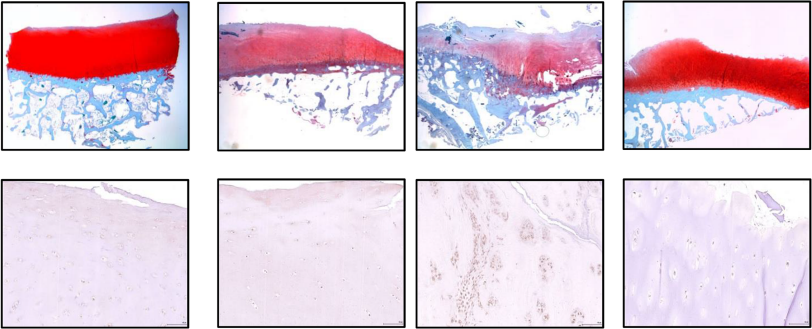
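These sections show articular cartilage over subchondral bone. In the upper row the cartilage matrix stains red and the underlying trabecular bone stains blue; in some sections the red staining is paler and the surface is irregular. In the lower row, chondrocytes lie scattered singly or in clusters within the pale matrix, and some clusters carry a brown stain.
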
